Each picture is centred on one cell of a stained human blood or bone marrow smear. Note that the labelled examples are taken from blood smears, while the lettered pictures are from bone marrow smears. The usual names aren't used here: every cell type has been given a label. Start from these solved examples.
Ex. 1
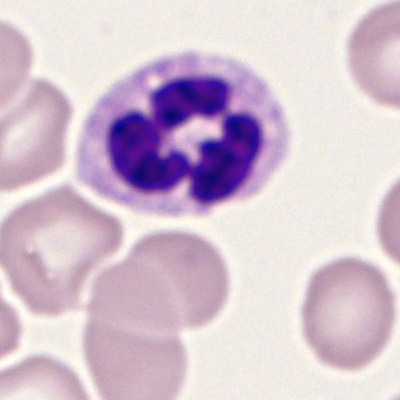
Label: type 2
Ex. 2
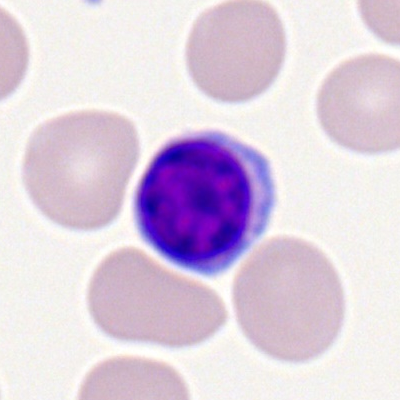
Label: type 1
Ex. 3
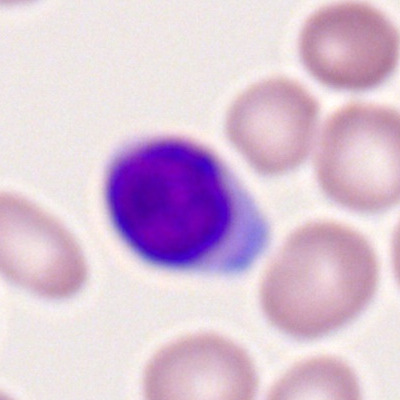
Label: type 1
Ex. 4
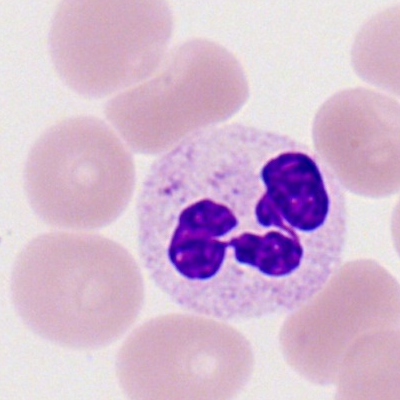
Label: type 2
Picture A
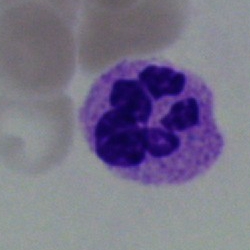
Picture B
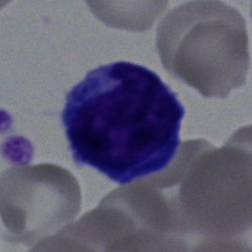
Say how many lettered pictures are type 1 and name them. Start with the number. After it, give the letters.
Count: 1 (B)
